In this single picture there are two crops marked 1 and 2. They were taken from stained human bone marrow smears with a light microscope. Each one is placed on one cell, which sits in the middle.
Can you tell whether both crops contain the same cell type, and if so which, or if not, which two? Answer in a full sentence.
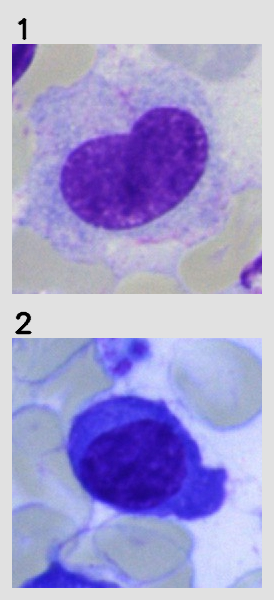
No, crop 1 is where a hairy cell is, and crop 2 is where a plasma cell is.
